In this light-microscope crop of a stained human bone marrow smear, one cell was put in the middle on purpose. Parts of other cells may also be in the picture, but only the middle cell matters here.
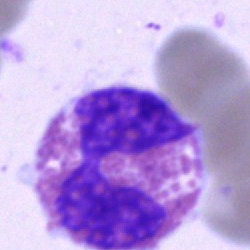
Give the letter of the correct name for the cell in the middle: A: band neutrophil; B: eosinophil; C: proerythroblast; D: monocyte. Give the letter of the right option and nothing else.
B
